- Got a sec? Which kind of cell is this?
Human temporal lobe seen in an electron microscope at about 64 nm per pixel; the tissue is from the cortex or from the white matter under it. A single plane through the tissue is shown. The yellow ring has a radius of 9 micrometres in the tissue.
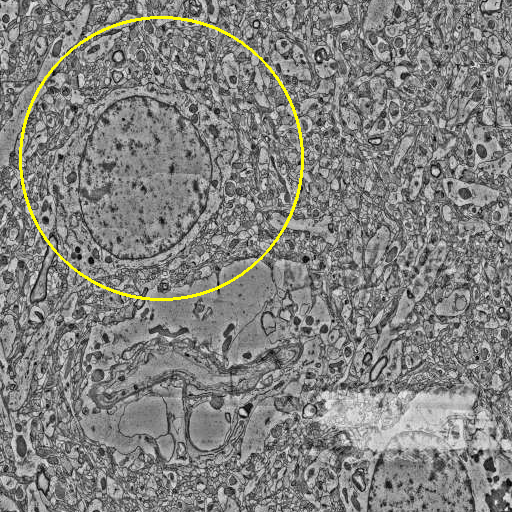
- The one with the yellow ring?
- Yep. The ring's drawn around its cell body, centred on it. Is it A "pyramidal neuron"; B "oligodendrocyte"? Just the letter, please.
A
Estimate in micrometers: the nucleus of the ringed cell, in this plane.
In this plane, roughly 10 by 9 micrometres.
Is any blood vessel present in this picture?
Yes, one shows.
